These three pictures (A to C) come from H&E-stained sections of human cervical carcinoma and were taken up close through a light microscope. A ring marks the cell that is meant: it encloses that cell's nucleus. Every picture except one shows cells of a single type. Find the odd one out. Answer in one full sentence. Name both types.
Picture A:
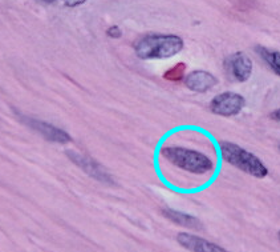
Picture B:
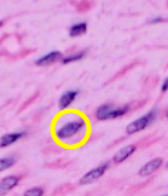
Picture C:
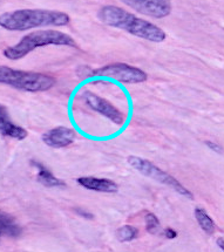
Unlike the rest, which show smooth muscle cells, picture A shows a fibroblast.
